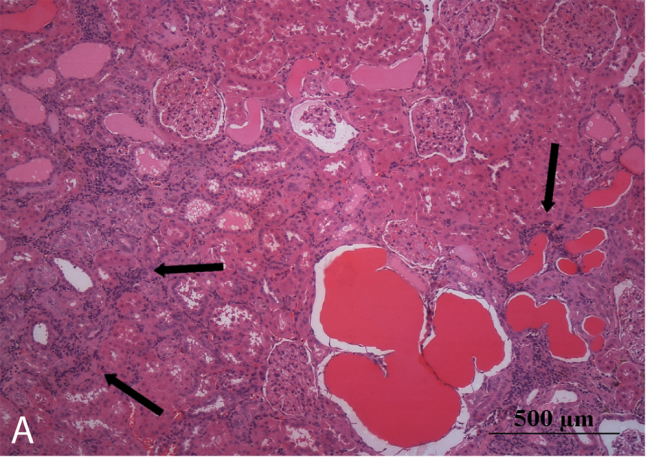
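This is kidney cortex with round glomeruli scattered among densely packed tubules lined by pink-staining epithelial cells. Many tubules are widened and their lumens are filled with homogeneous, bright red-pink material, some forming large lobulated masses. Between the tubules there are dense patches of small, dark purple nuclei. Some tubules look flattened and small compared with their neighbours. The pink-filled tubules are tubular casts within dilated tubules, and the dark nuclear clusters in the interstitium are chronic inflammatory infiltrates.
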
